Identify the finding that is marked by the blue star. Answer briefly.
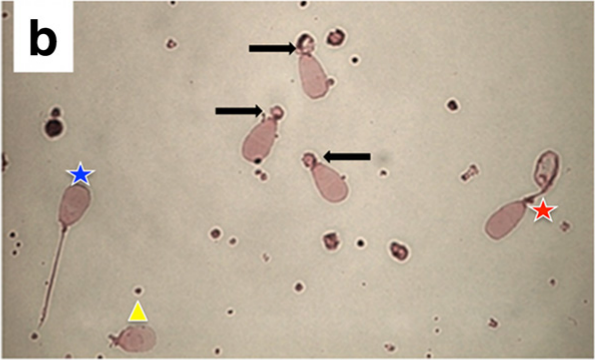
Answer: short tails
